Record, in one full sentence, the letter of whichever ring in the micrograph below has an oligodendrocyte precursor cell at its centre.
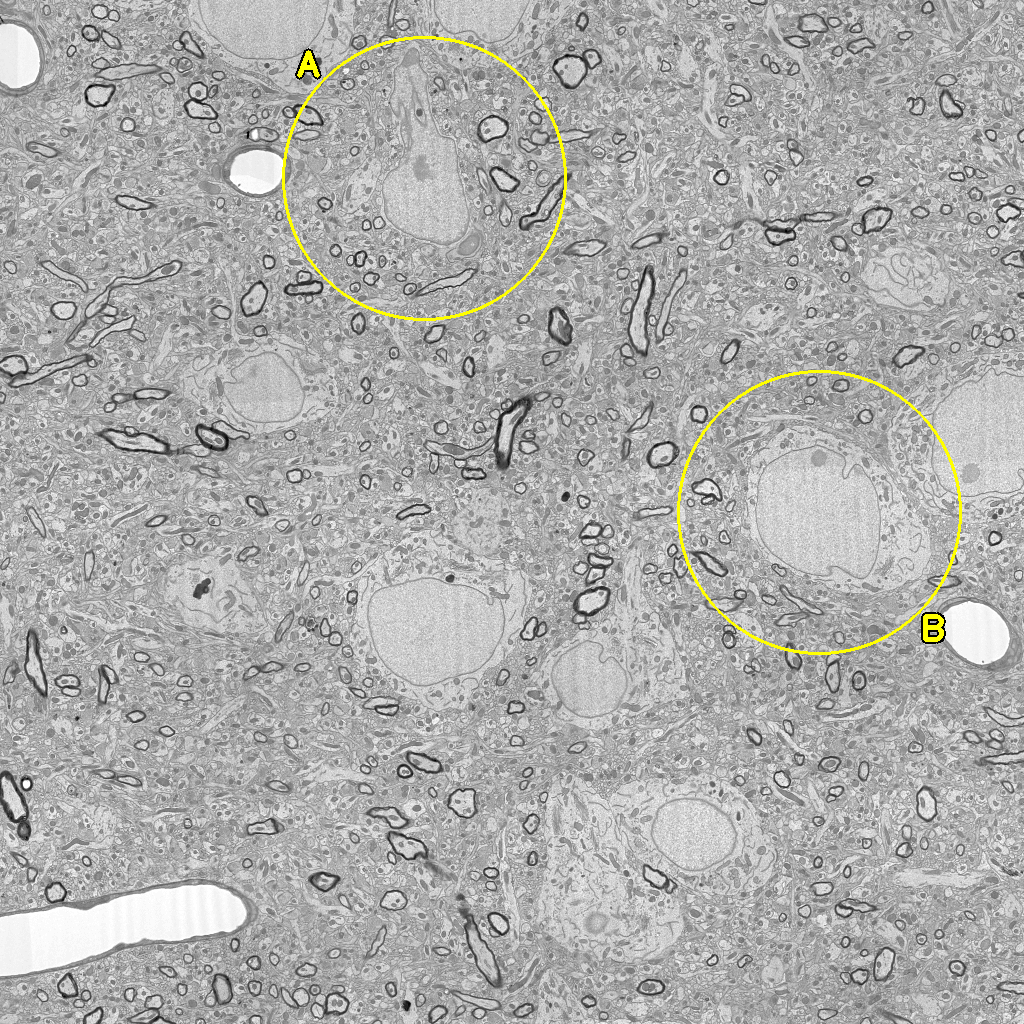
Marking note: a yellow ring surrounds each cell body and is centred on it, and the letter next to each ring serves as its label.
For the cell asked for, the ring centred on it carries the letter A.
